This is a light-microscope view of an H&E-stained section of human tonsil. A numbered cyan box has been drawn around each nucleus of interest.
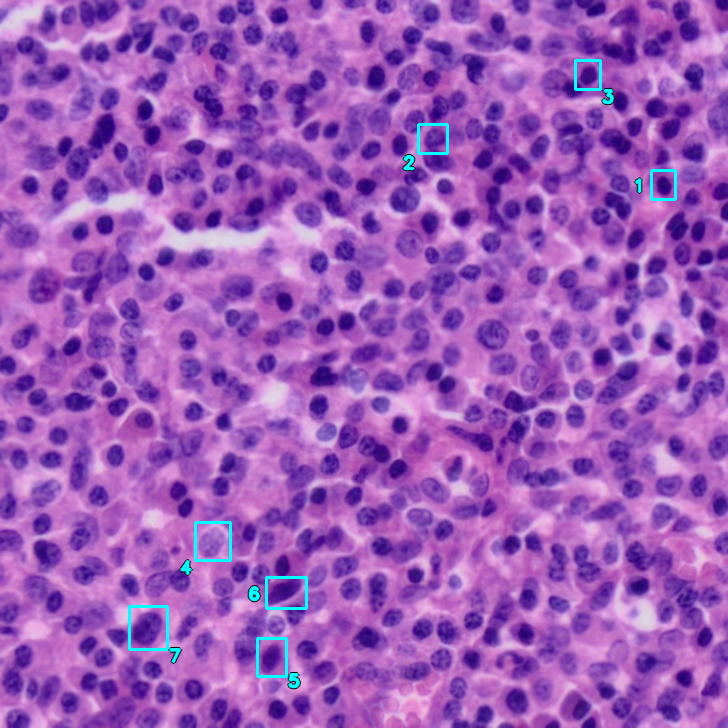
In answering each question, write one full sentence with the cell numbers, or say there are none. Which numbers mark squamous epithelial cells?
The cells which carry the numbers 4, 5, 6 and 7 are squamous epithelial cells.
